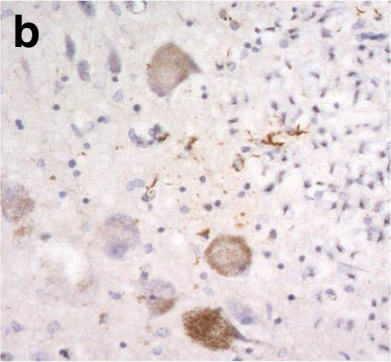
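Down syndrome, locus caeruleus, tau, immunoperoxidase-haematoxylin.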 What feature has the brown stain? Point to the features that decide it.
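Neurites. A few thin, short brown threads in the neuropil. Large neurons nearby contain granular brown pigment.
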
